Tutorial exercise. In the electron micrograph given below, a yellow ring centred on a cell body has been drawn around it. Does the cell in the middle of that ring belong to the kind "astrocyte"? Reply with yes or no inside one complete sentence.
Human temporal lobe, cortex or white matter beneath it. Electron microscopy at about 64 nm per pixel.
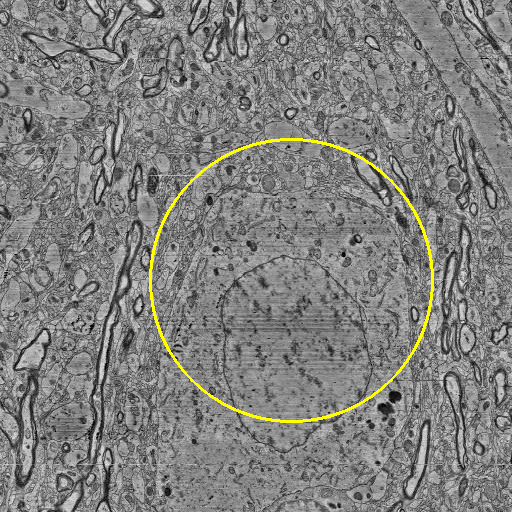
No, the cell at the centre of the ring in the picture is of a different kind.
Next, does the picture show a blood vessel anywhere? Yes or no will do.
No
